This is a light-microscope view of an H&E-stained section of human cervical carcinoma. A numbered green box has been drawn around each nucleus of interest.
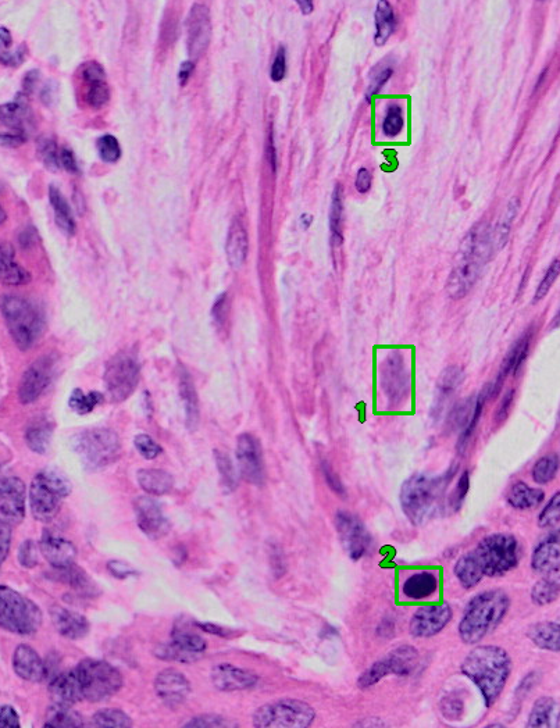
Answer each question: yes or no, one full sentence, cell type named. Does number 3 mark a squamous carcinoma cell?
No, a squamous carcinoma cell is not what cell 3 is; it is a lymphocyte.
